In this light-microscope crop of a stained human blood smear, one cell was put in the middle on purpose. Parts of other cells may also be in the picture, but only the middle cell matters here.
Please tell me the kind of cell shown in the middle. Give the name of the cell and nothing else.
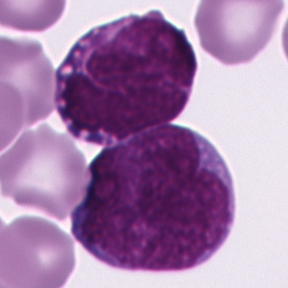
myeloblast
